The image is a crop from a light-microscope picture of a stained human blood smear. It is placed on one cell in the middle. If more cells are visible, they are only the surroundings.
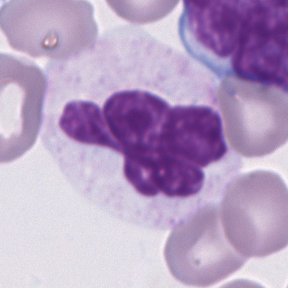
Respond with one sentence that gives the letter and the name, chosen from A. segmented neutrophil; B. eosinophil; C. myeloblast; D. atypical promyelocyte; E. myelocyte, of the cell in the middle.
The cell in the middle is a segmented neutrophil, so option A is correct.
